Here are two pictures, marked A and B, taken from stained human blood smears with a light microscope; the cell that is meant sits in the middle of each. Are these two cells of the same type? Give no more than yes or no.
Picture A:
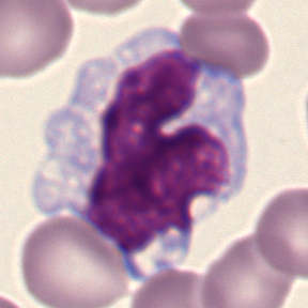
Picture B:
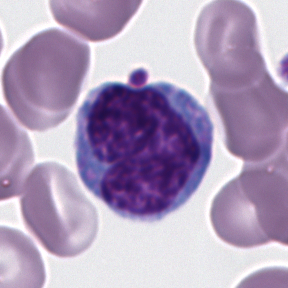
yes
